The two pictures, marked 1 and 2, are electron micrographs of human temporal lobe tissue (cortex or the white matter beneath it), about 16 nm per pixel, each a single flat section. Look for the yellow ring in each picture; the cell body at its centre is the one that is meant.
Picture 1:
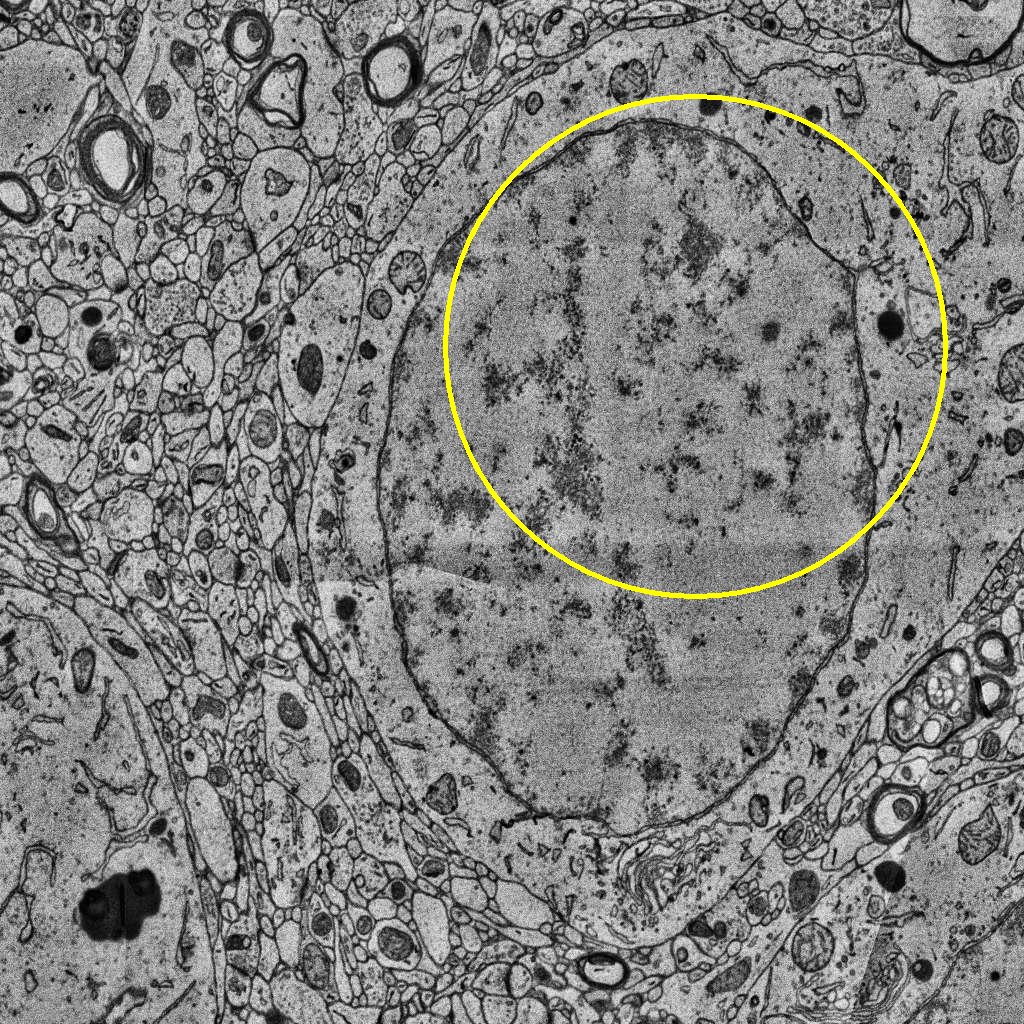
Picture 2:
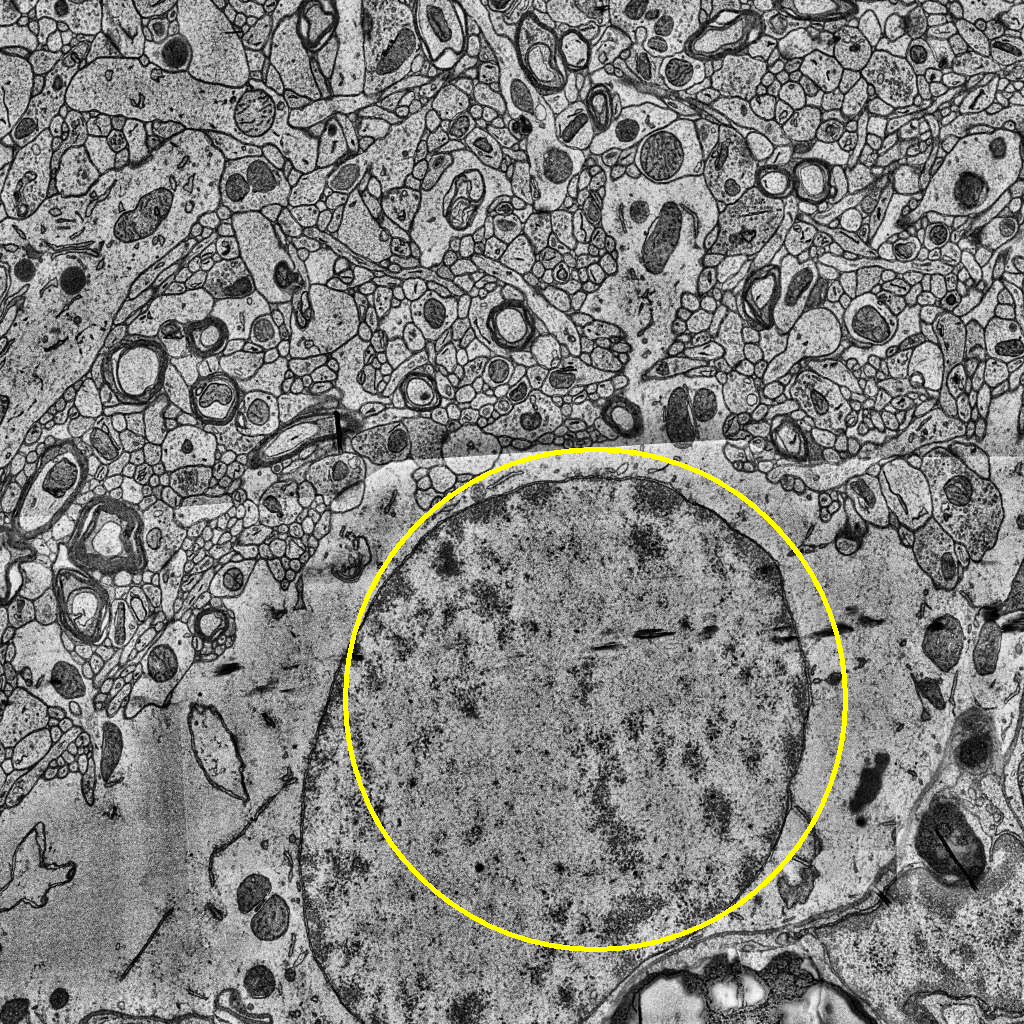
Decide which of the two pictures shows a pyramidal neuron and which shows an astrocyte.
In picture 1 the cell is a pyramidal neuron; in picture 2, an astrocyte.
